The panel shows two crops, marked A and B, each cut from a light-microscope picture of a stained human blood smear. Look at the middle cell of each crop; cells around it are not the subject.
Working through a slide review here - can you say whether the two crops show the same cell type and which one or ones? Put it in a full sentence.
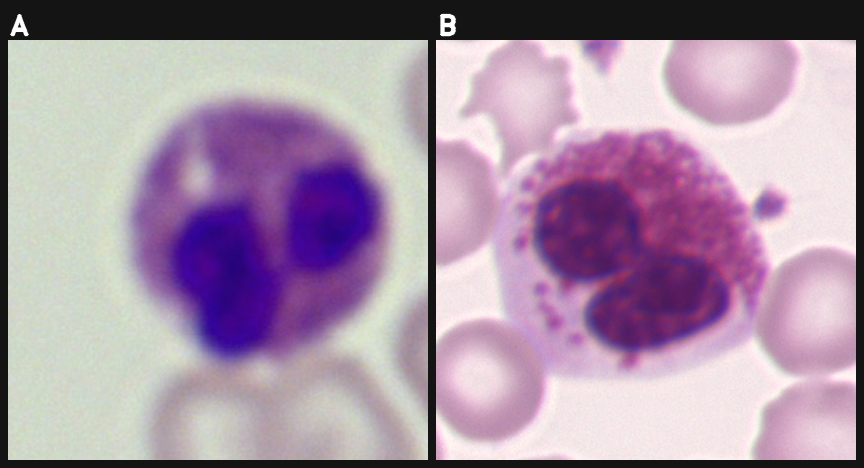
Yes, in the case of both crops, the central cells are eosinophils.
